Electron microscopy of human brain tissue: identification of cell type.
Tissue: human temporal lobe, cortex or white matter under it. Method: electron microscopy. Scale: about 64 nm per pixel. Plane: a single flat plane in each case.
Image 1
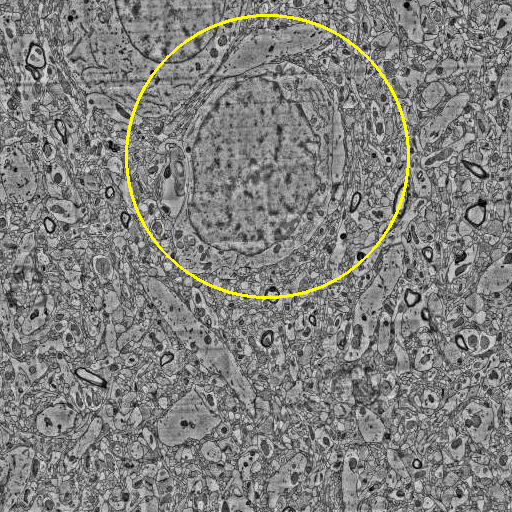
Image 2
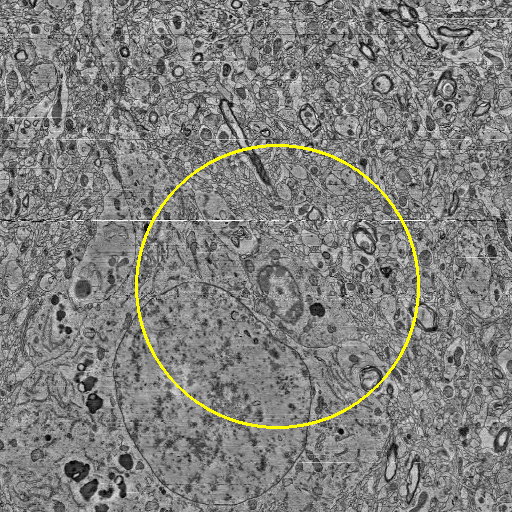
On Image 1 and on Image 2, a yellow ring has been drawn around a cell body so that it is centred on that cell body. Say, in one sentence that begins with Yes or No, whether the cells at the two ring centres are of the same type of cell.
No, the two cells are two separate types of cell.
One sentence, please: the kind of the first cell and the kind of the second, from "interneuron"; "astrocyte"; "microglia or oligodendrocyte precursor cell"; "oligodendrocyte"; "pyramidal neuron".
The ring in the first picture surrounds an interneuron, and the ring in the second surrounds an oligodendrocyte.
